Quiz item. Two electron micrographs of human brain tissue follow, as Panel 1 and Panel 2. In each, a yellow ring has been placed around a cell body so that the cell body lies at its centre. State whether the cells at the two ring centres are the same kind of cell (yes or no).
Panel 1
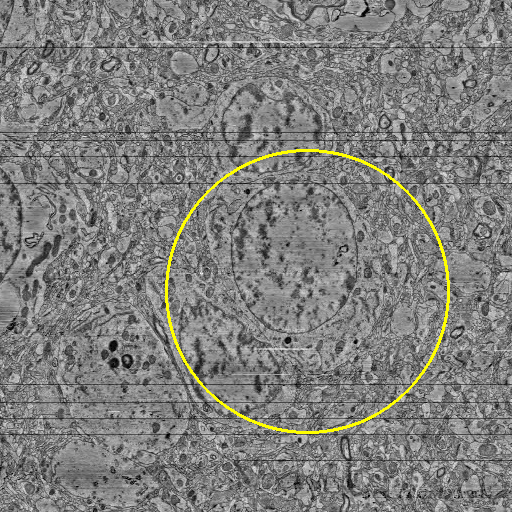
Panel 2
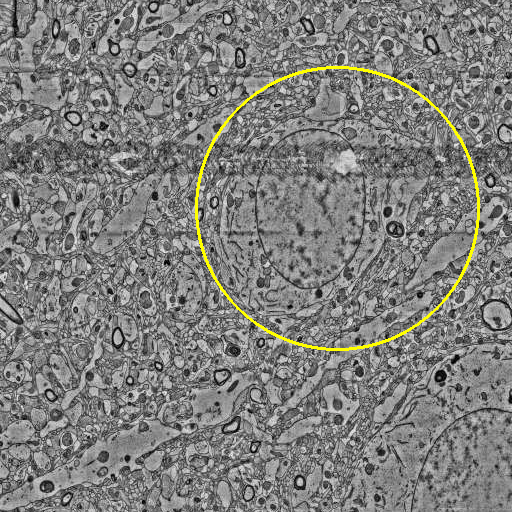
yes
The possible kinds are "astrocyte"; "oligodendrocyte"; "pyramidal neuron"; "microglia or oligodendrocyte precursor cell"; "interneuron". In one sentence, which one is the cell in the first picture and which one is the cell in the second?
Both cells are the same kind, each one being a pyramidal neuron.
